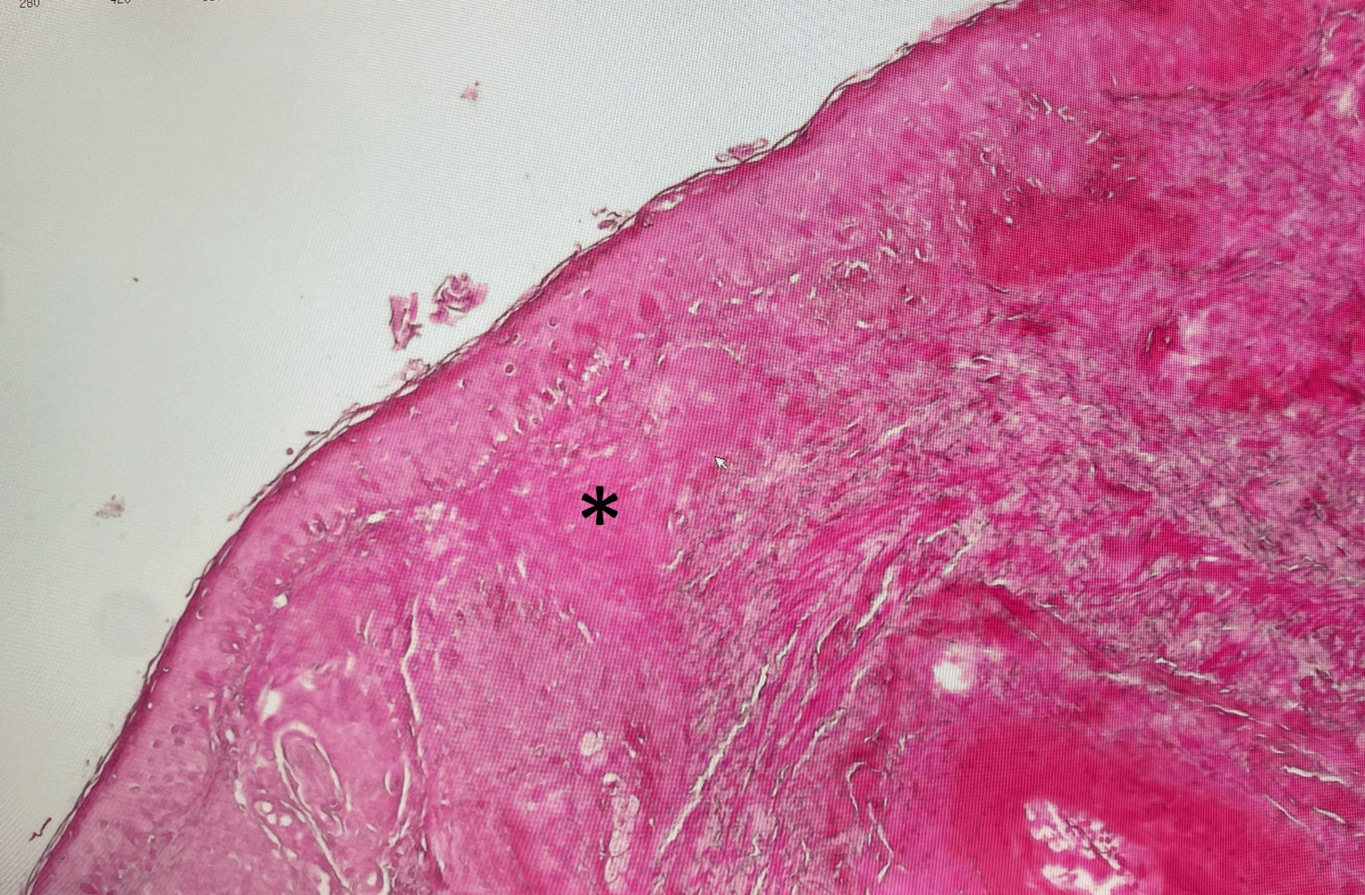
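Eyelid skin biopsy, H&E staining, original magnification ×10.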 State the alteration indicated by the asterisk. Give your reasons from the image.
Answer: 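The asterisk lies in broad pink, smooth, glassy material beneath the skin surface. The marked material has very few nuclei. The pink material fills most of the tissue below the surface, with slit-like clefts running through it. On this evidence: hyaline material.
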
